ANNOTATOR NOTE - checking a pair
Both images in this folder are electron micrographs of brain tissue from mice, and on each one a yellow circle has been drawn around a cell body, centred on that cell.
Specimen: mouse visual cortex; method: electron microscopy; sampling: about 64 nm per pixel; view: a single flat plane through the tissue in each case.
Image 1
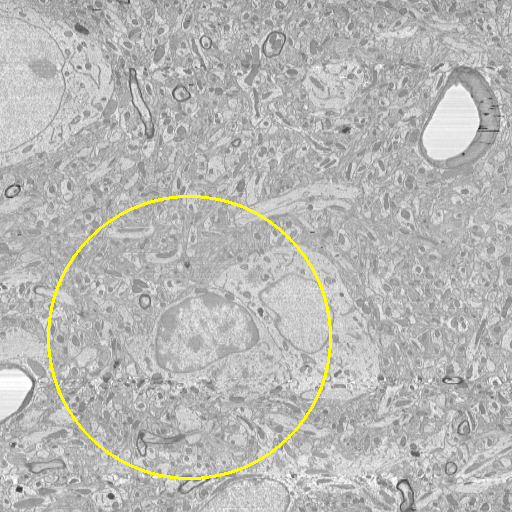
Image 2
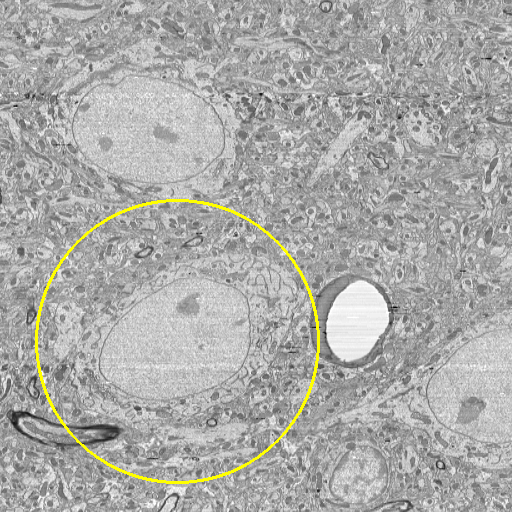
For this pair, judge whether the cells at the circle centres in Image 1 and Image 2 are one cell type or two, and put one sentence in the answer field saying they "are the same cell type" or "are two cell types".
For this pair, the cells at the circle centres in Images 1 and 2 are two cell types.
